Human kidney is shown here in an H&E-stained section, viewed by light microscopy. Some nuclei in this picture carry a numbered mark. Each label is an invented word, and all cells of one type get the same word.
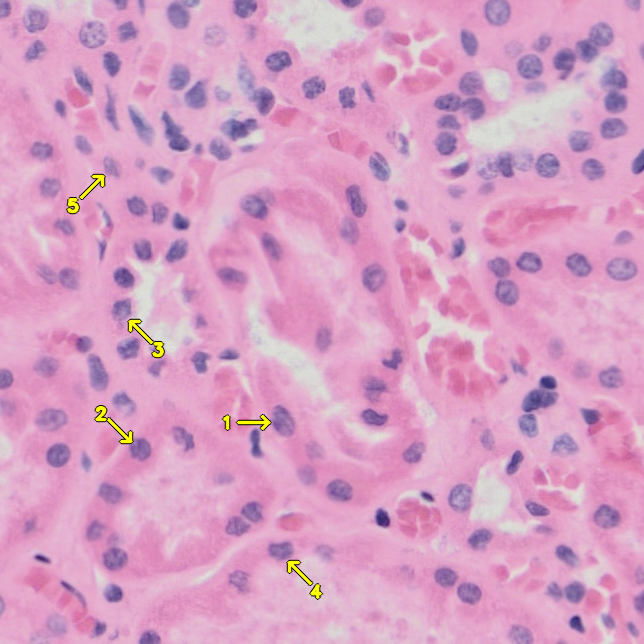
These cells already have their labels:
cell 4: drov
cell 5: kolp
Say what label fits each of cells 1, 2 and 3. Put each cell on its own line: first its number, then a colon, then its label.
1: drov
2: drov
3: kolp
